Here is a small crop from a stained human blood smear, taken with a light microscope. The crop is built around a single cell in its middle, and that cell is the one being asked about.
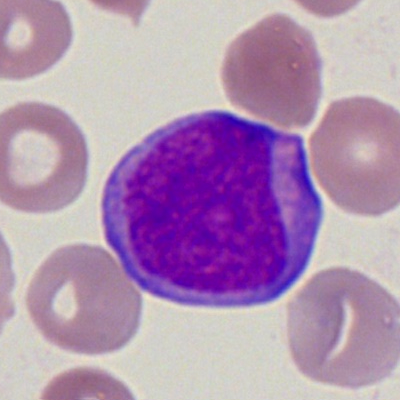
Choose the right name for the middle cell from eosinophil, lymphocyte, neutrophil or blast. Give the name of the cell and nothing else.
blast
